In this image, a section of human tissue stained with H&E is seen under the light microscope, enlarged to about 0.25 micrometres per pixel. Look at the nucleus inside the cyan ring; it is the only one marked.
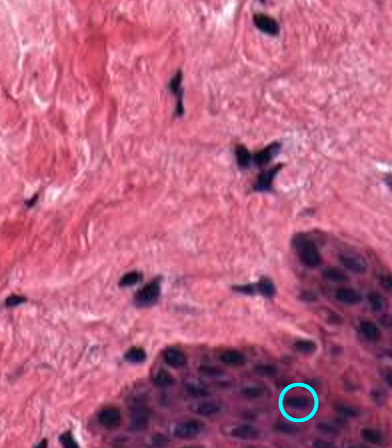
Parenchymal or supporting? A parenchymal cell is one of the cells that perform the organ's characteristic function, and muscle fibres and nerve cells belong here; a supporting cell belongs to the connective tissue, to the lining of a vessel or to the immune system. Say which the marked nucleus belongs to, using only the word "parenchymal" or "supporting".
parenchymal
